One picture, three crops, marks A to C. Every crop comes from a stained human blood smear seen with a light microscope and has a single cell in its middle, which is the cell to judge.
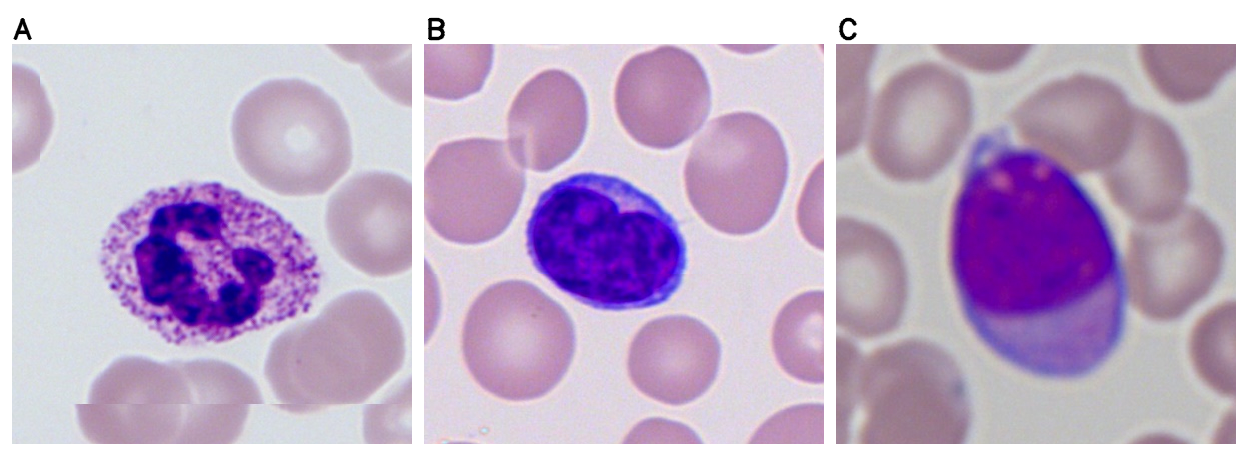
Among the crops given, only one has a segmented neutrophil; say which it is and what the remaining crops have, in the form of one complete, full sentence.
In crop A there is a segmented neutrophil, while crop B is a lymphocyte and crop C is a myeloblast.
